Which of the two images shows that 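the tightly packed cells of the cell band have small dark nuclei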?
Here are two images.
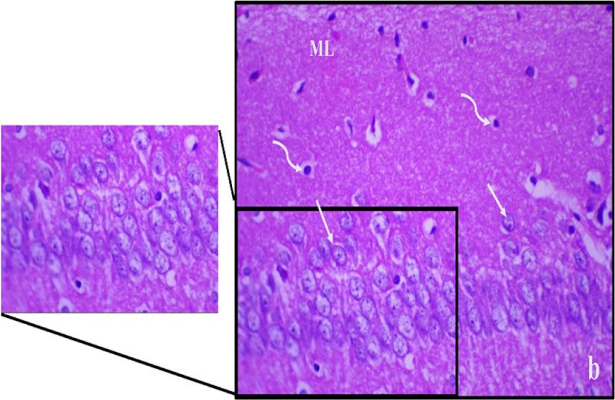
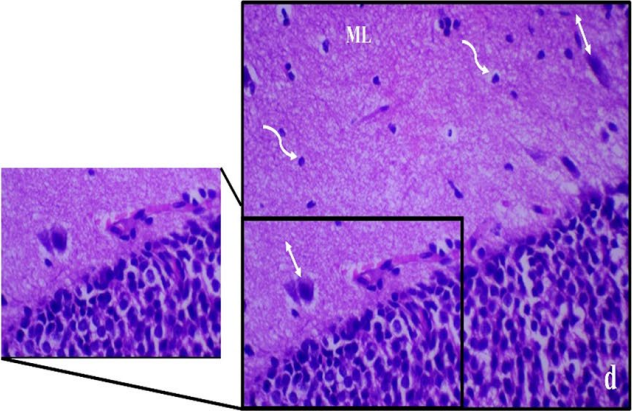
The second image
